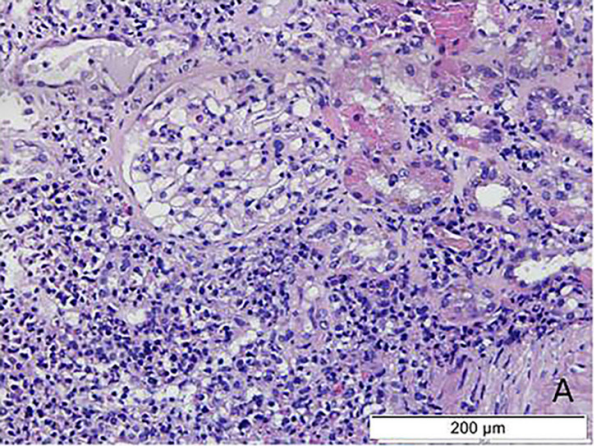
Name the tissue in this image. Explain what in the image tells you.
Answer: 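A glomerulus with its capillary tuft sits inside a capsule. The answer: Renal cortex.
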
